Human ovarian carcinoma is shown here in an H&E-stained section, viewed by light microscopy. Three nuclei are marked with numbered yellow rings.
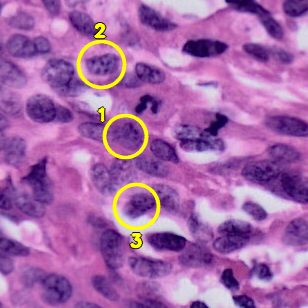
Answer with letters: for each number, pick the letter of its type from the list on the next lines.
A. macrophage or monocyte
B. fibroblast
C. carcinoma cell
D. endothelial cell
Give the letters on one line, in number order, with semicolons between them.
C; A; C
